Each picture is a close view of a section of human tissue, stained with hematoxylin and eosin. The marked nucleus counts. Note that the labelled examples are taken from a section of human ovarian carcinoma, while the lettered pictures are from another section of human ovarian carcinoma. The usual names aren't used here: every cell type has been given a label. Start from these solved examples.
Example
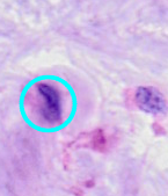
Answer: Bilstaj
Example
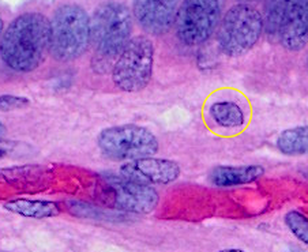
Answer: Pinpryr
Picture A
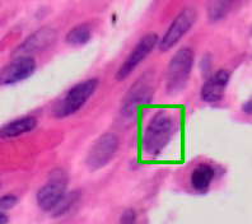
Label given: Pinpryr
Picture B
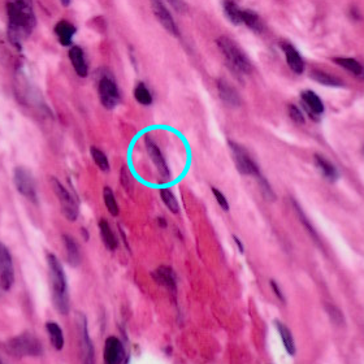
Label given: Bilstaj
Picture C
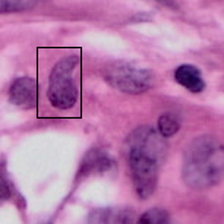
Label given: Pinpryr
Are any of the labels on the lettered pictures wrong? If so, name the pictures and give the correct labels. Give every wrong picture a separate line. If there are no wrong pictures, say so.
No label is wrong.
